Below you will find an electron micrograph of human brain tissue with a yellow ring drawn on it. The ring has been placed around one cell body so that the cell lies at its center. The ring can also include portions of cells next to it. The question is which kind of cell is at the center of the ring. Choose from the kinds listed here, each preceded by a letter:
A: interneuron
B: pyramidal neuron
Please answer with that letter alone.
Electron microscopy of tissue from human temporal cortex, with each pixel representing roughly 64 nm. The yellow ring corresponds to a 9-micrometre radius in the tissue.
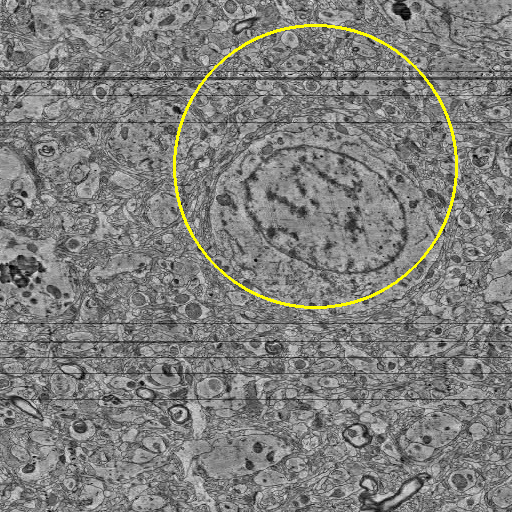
B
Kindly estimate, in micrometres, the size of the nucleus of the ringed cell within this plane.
In this plane, roughly 11 by 8 micrometres.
